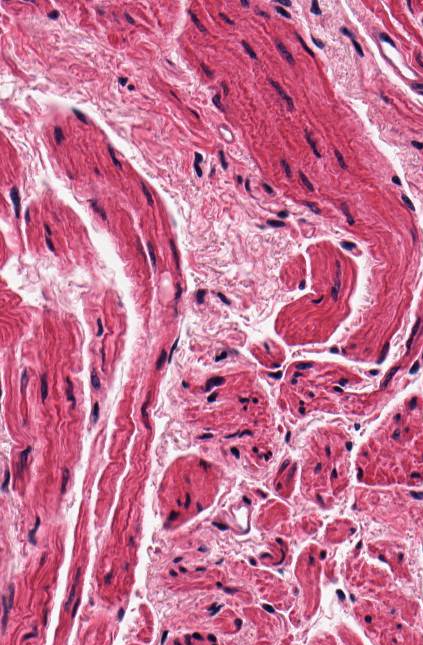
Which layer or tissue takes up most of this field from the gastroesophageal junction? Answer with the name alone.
smooth muscle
